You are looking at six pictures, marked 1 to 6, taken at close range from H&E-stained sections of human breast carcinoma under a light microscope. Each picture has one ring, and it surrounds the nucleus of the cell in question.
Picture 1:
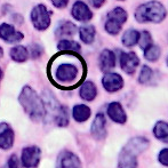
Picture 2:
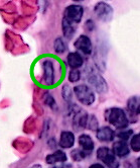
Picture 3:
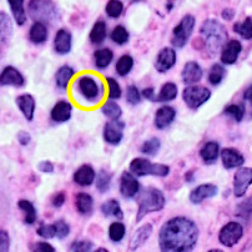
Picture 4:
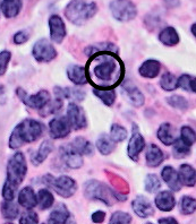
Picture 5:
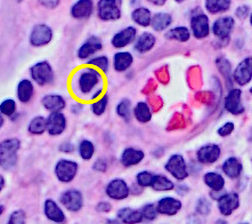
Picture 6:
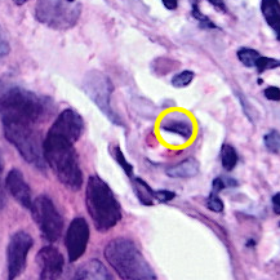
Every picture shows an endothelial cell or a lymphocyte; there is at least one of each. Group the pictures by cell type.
1: lymphocyte
2: endothelial cell
3: lymphocyte
4: lymphocyte
5: lymphocyte
6: endothelial cell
